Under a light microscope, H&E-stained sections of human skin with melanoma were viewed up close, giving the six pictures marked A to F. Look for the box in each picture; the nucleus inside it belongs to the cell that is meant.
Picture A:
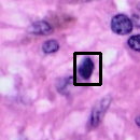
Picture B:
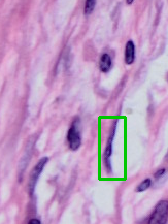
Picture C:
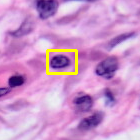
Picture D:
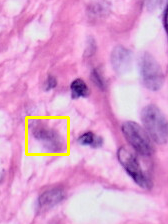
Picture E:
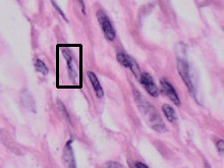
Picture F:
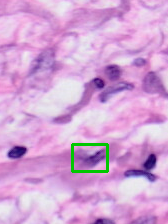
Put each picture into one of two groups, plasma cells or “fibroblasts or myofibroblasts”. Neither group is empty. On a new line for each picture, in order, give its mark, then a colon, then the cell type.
A: plasma cell
B: fibroblast or myofibroblast
C: plasma cell
D: fibroblast or myofibroblast
E: fibroblast or myofibroblast
F: fibroblast or myofibroblast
